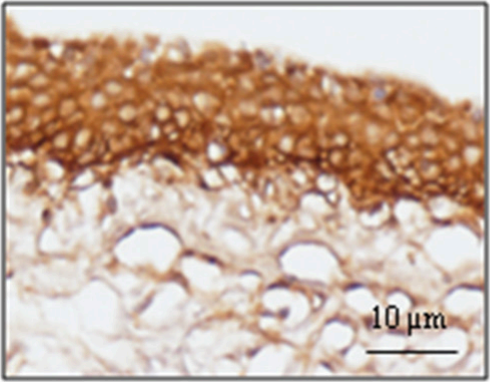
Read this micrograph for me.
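The epithelial layer is several cells thick and stains a strong, even brown. Within it the cells are rounded, with pale, roughly round nuclei standing out against the dark brown that fills the cytoplasm and outlines the cells. Beneath the epithelium the tissue is loose and open, a pale brown meshwork of fibres and cell outlines around large clear spaces. The contrast between the dense brown epithelium and the airy tissue below marks the boundary between the two layers sharply.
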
